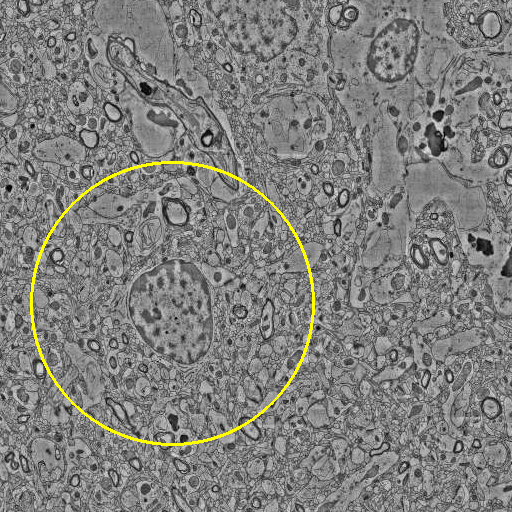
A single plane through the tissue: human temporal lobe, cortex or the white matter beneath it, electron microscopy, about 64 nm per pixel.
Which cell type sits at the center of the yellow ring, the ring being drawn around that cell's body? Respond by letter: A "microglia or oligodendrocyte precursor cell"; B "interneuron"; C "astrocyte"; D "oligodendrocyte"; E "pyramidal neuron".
A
